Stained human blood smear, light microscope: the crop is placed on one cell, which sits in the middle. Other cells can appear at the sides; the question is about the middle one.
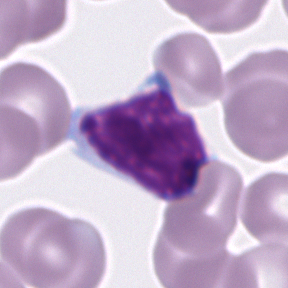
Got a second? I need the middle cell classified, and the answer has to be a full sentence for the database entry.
Framed in the middle of the crop is a typical lymphocyte.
